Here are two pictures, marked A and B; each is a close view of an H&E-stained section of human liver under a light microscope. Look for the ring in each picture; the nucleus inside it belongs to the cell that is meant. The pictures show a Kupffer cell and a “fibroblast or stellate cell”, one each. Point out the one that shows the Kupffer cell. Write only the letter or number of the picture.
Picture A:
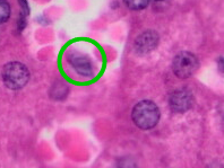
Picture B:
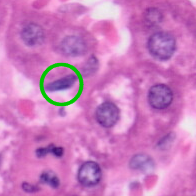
A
